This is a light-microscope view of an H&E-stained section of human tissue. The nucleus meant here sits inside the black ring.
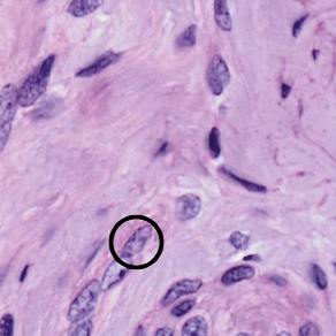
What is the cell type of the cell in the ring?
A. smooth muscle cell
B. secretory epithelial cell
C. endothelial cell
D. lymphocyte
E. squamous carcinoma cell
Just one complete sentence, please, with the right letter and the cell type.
Option C, identifying the cell in the ring as an endothelial cell, is correct.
